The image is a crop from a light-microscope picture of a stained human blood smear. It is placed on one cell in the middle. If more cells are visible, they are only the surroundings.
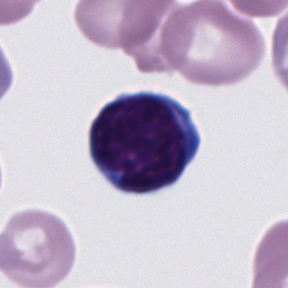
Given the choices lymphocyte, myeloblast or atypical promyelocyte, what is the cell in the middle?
myeloblast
